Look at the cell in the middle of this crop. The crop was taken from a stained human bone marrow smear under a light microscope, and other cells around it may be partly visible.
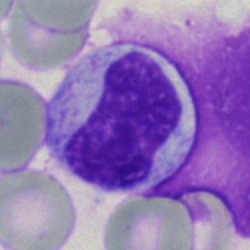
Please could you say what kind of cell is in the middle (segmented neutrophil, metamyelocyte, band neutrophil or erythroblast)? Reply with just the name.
metamyelocyte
